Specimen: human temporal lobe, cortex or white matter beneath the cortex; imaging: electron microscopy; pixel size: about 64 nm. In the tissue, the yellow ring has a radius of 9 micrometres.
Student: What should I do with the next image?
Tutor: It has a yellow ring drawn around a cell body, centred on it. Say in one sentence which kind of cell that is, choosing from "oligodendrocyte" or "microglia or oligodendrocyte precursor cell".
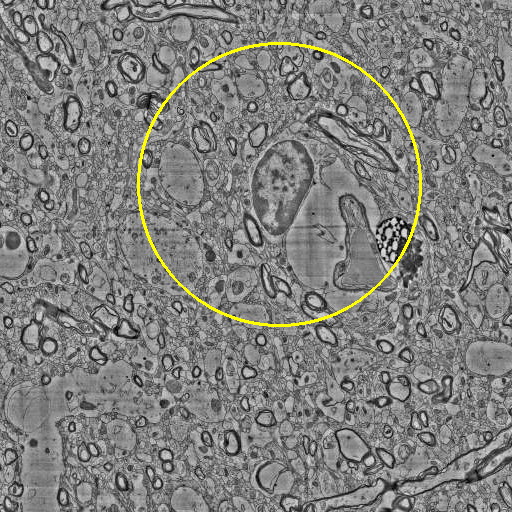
The ring's centre is occupied by a microglial cell or oligodendrocyte precursor cell.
